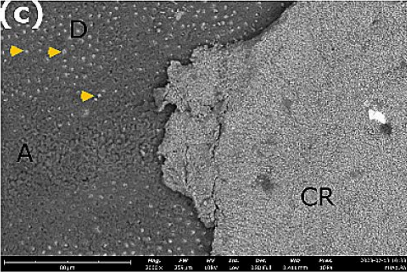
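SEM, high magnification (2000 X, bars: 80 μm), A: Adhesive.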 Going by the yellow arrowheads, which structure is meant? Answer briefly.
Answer: dentin tubules sealed by resin tags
